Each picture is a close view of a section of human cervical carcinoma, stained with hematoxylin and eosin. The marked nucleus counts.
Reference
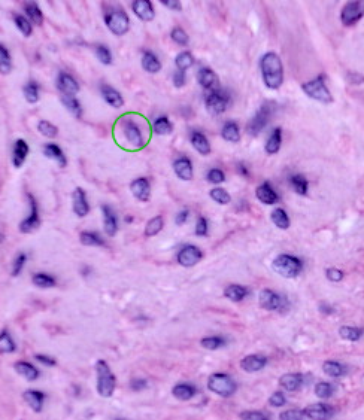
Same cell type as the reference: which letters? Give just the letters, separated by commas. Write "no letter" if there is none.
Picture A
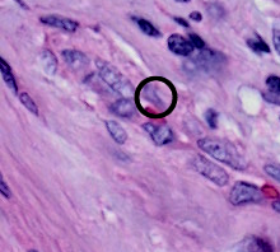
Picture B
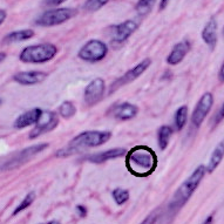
B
